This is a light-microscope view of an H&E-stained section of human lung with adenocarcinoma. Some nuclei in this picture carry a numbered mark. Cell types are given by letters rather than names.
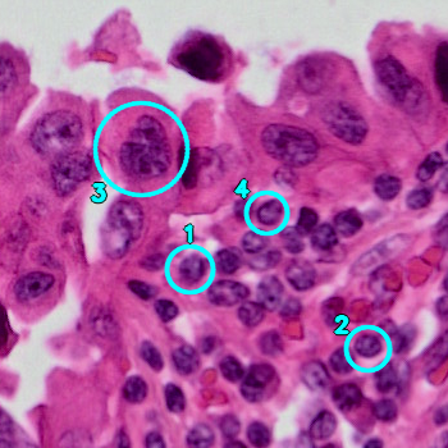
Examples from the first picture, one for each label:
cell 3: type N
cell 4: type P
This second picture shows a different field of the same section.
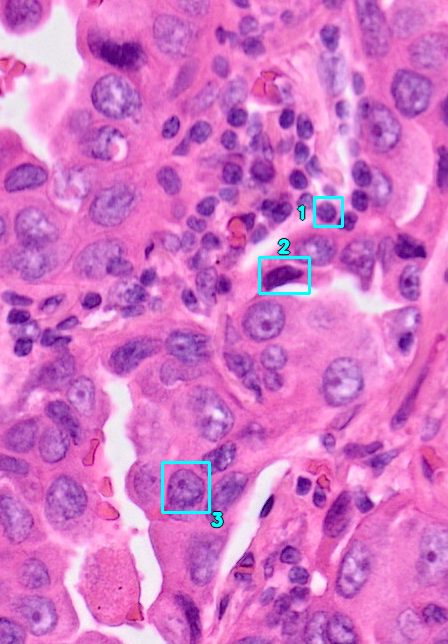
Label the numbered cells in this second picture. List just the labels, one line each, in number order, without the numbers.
type P
type N
type N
